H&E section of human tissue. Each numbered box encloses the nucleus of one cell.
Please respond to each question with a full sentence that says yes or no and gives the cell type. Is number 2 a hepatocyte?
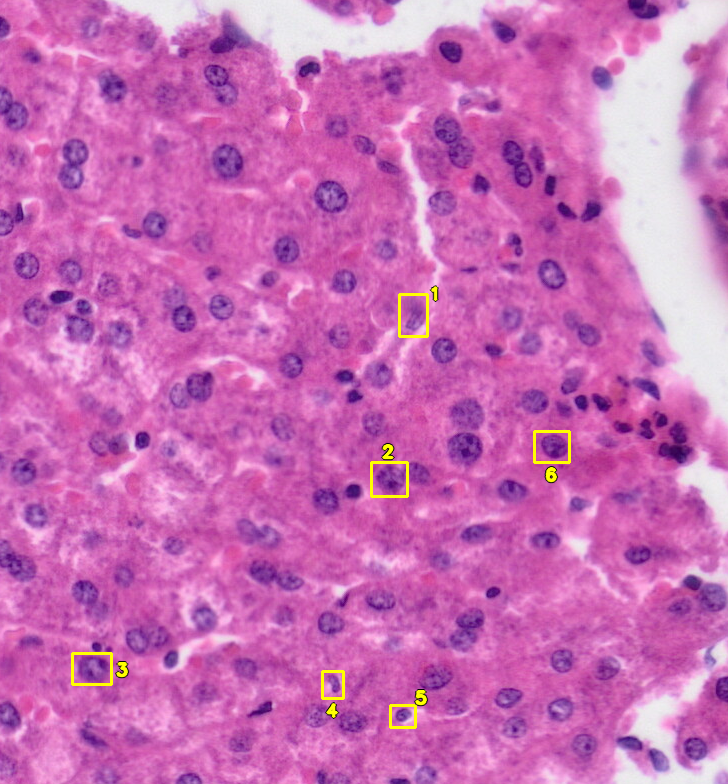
Yes, the cell with the mark numbered 2 is a hepatocyte.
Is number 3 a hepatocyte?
Yes, the cell at marker 3 is a hepatocyte.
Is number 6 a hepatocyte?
Yes, the cell labelled with number 6 is a hepatocyte.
